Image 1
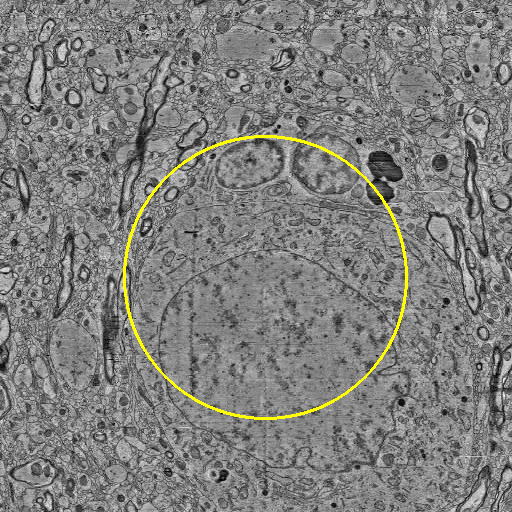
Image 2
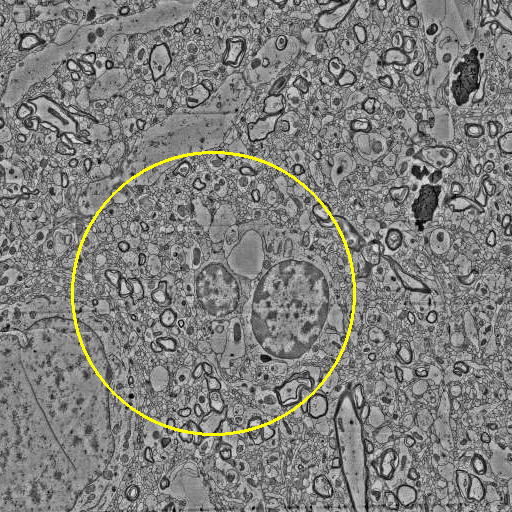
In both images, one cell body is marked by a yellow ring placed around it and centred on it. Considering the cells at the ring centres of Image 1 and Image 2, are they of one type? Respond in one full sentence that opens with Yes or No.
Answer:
No, two types apply to the ring-centred cells of Image 1 and Image 2.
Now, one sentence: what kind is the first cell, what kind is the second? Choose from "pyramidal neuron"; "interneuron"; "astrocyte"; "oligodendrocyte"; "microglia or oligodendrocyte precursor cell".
The first picture has a pyramidal neuron at its ring centre, and the second has an oligodendrocyte.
